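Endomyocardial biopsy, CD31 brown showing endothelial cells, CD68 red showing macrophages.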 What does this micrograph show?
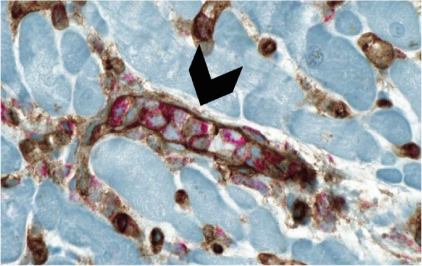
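Heart muscle cut across, the muscle fibres pale blue-grey, with a prominent blood vessel running through the centre. The vessel is lined by brown-stained flattened cells, and within and along its wall lie many rounded cells outlined in red, crowding the lumen. Around it, between the muscle fibres, small capillaries appear as brown-stained rings and strands, and scattered rounded cells with dark brown or reddish outlines lie in the interstitium.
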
